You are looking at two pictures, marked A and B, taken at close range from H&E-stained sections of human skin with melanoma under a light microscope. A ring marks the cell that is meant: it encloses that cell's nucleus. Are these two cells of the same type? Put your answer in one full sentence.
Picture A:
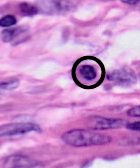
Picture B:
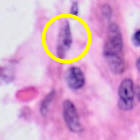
No, picture A shows a plasma cell and picture B shows a “fibroblast or myofibroblast”.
